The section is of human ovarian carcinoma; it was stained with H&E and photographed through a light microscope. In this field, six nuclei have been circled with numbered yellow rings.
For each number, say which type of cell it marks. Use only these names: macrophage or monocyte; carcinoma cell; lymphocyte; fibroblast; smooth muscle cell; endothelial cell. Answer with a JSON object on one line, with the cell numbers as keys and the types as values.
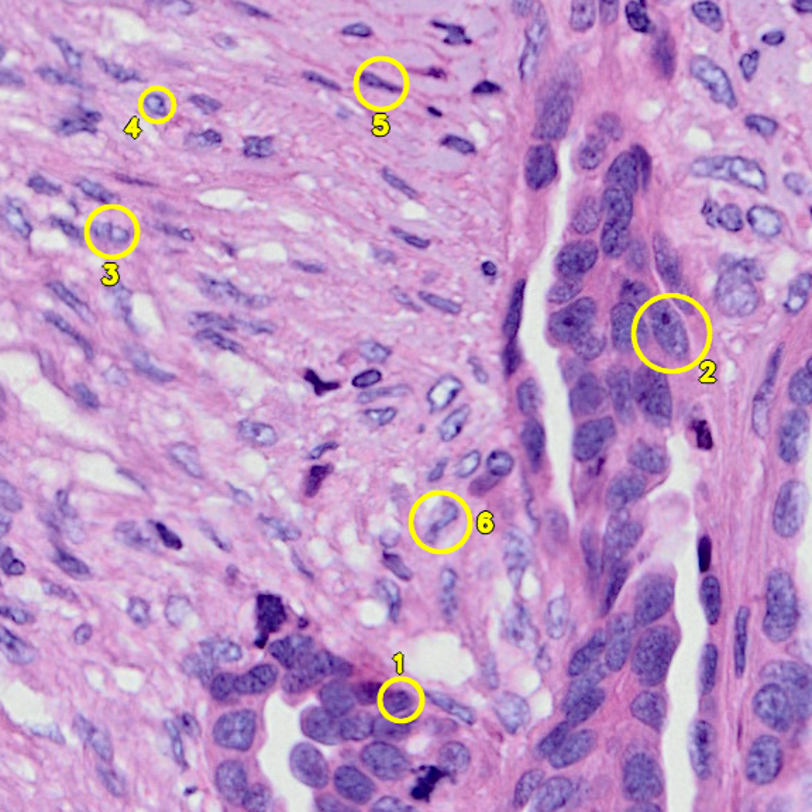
{"1": "carcinoma cell", "2": "carcinoma cell", "3": "fibroblast", "4": "fibroblast", "5": "fibroblast", "6": "fibroblast"}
